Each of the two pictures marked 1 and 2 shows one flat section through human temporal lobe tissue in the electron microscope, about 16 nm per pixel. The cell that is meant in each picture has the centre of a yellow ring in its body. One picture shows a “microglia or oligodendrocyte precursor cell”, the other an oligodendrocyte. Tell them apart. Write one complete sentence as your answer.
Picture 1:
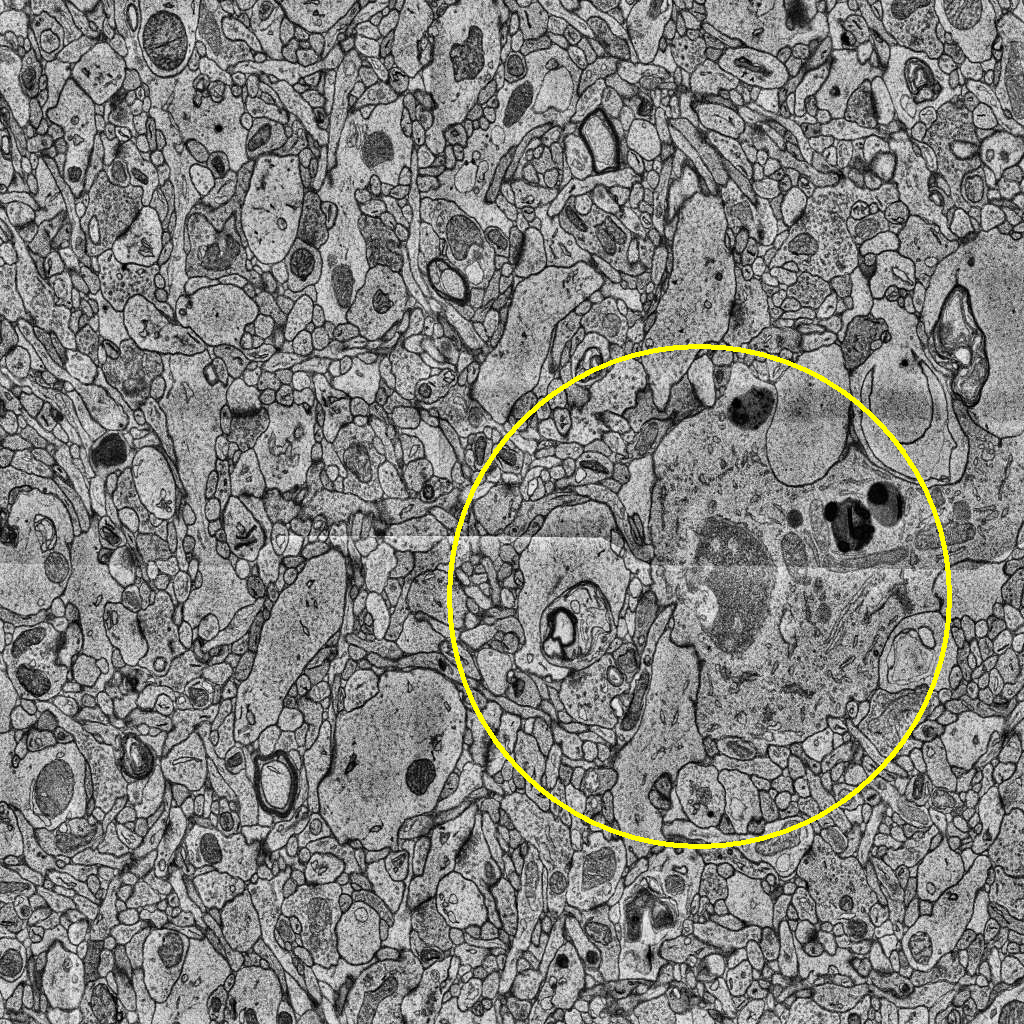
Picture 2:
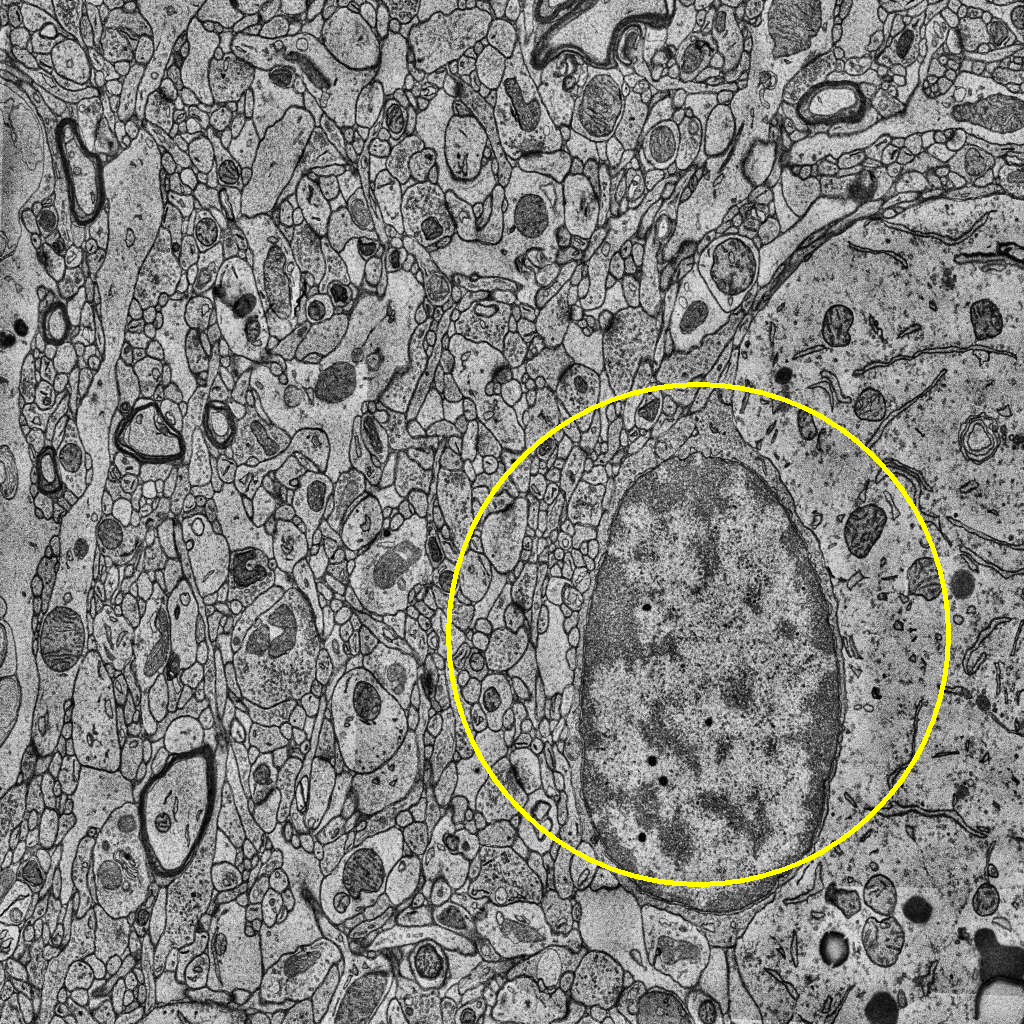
In picture 1 the cell is a “microglia or oligodendrocyte precursor cell”; in picture 2, an oligodendrocyte.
